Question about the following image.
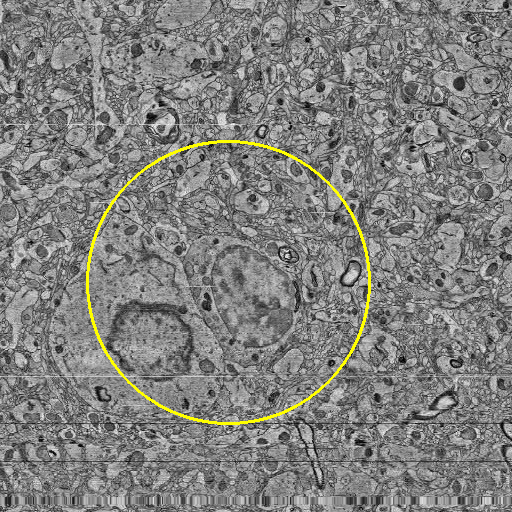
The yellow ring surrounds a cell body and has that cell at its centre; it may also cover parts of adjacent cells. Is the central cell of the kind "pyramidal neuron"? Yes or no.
No, it is of another kind.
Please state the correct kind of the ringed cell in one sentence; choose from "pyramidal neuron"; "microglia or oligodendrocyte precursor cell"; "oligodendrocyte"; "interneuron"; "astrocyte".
The ring's central cell is an oligodendrocyte instead.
